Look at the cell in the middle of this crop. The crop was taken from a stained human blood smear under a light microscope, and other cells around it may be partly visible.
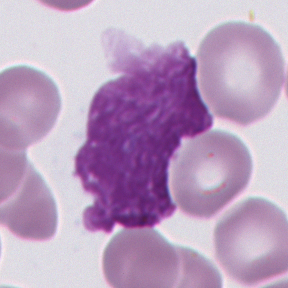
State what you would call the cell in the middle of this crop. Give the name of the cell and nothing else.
smudge cell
